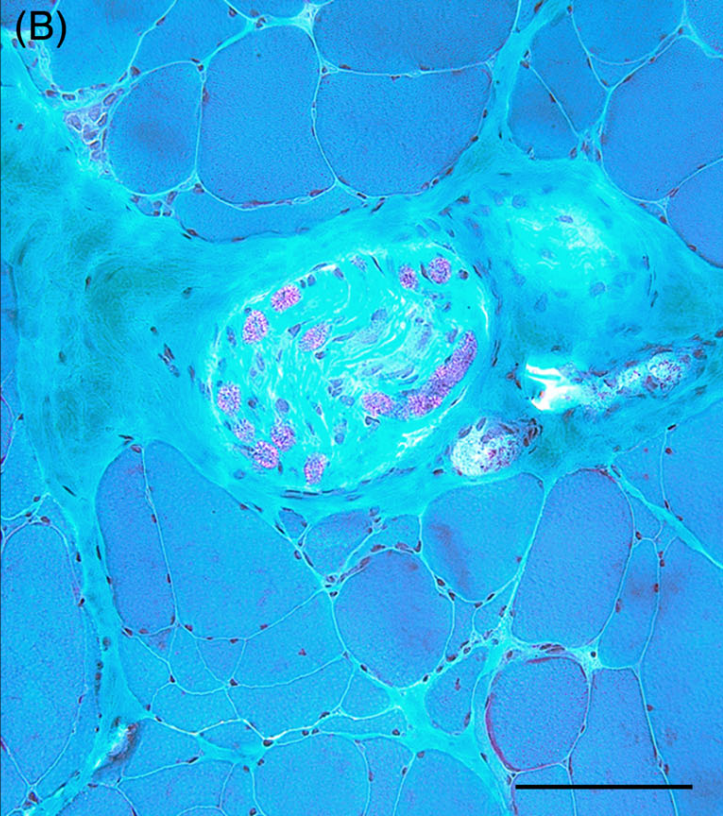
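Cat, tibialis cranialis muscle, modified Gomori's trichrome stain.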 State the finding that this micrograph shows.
fibers loss and fibrosis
